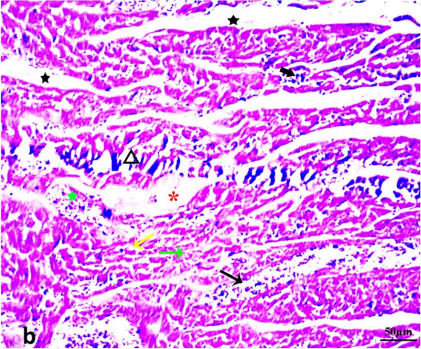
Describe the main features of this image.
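Cardiac muscle shows disrupted architecture with fibers broken into irregular fragments. Wide pale spaces separate bundles of fibers. Many scattered and clustered dark blue nuclei lie between the fibers, and parts of the field show fragmented, patchy pink cytoplasm with irregular dark nuclear material. Regular parallel alignment of fibers is largely lost.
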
